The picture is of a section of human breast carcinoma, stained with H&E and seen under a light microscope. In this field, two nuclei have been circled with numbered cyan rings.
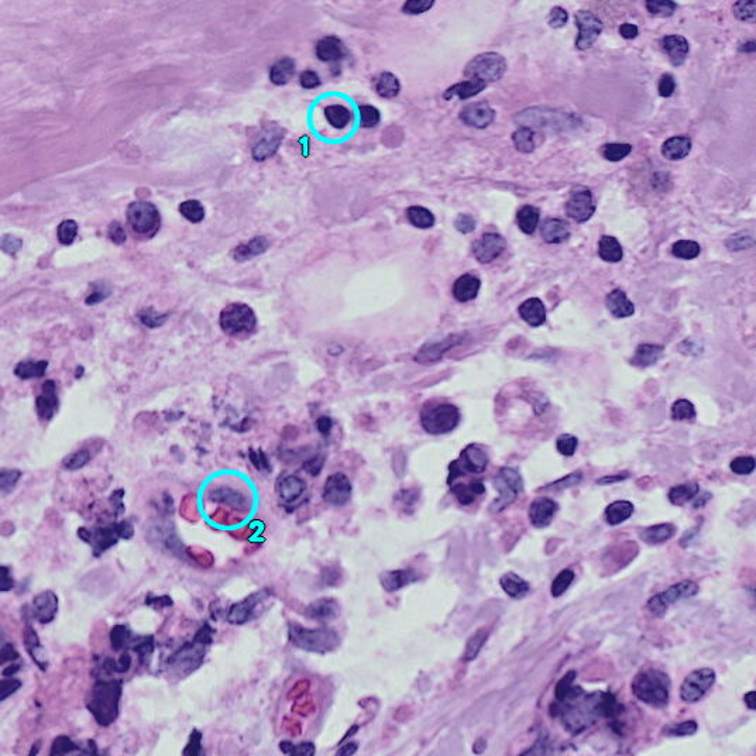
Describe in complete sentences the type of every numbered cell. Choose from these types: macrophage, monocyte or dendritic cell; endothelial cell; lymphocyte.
Cell 1 is a lymphocyte. Cell 2 is an endothelial cell.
